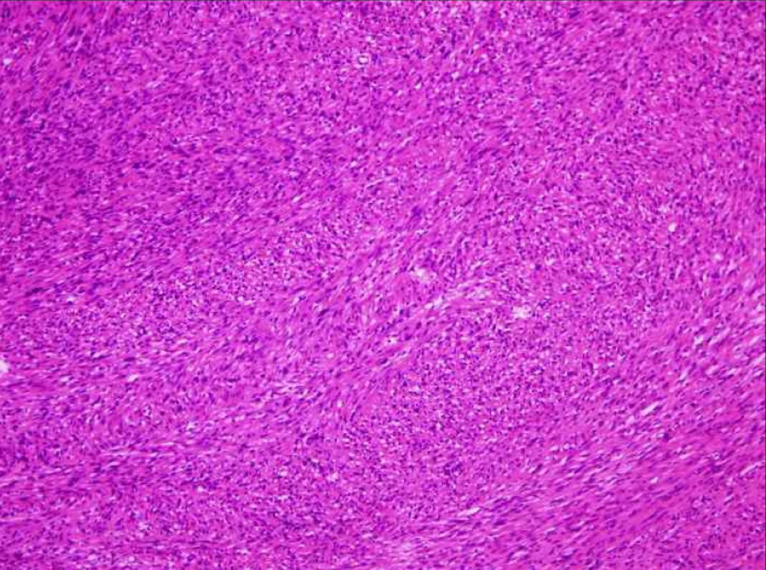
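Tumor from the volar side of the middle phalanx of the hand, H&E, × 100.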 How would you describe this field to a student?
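The cells have elongated, slender, dark purple nuclei. Their pale pink cytoplasm blends into a fibrillary background with no clear cell borders. They lie close together in interlacing bundles and streams that sweep across the field. No cystic spaces, loose pale areas or large vessels can be seen here.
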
